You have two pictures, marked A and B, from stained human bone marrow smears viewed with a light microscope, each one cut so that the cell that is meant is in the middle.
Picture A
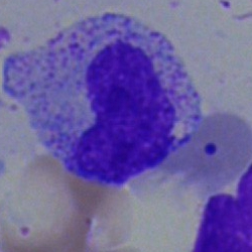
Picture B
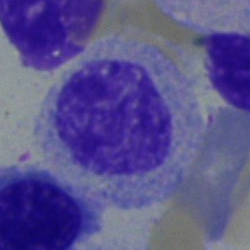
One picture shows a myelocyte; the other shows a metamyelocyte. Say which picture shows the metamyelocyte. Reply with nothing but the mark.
A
